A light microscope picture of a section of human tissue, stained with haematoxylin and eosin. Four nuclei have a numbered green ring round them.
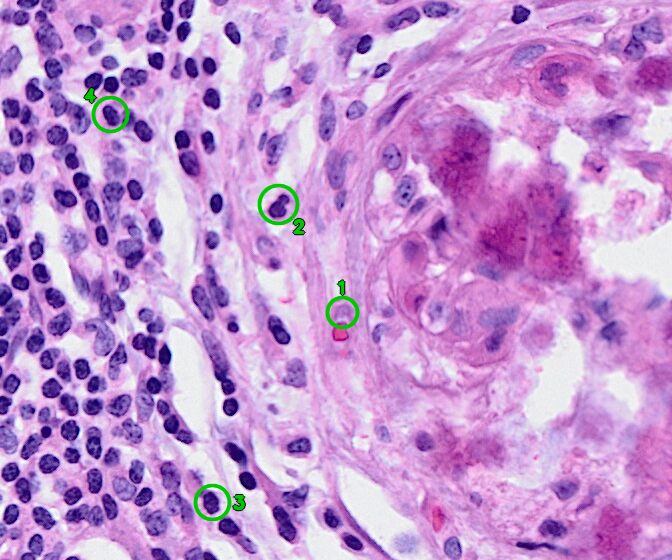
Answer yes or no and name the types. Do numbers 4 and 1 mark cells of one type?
No, rather, cell 4 is a lymphocyte and cell 1 is an endothelial cell.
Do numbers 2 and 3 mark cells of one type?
Yes, cells 2 and 3 are lymphocytes, the two of them alike.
